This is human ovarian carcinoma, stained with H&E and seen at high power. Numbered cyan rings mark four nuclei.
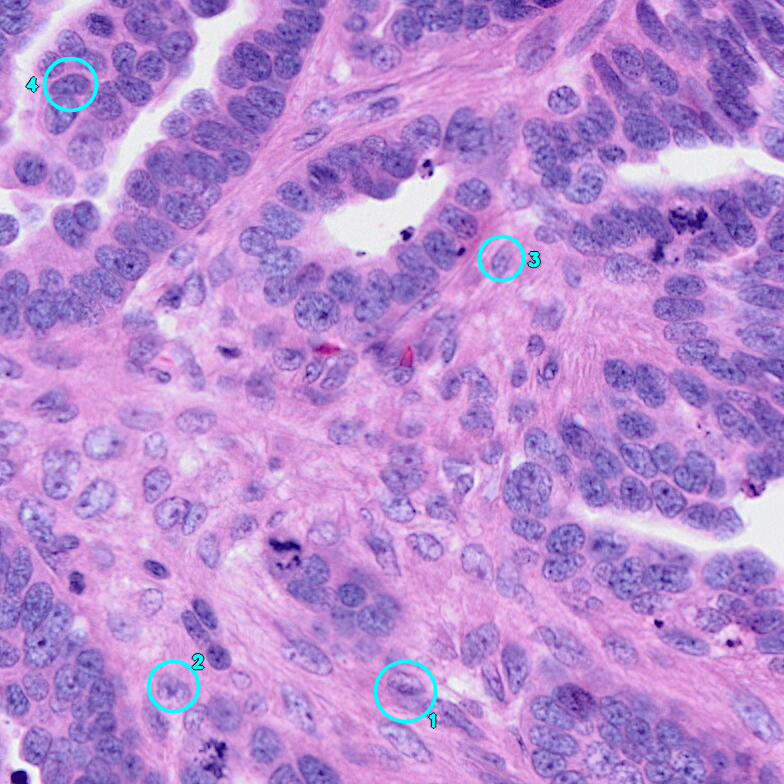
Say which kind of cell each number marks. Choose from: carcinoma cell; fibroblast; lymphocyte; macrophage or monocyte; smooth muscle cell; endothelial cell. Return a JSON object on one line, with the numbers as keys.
{"1": "fibroblast", "2": "fibroblast", "3": "fibroblast", "4": "carcinoma cell"}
